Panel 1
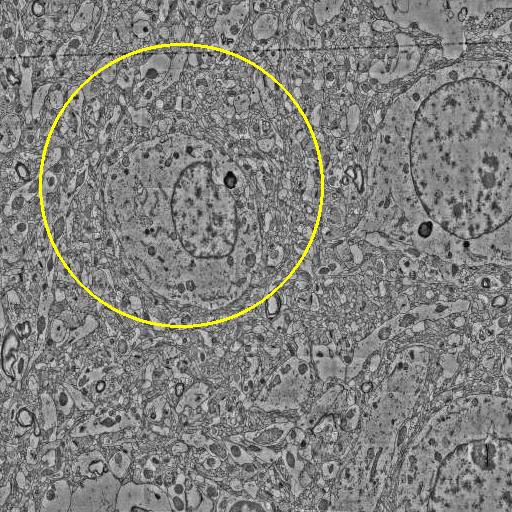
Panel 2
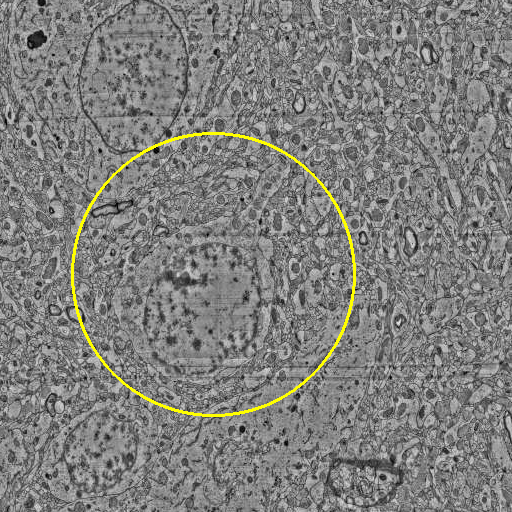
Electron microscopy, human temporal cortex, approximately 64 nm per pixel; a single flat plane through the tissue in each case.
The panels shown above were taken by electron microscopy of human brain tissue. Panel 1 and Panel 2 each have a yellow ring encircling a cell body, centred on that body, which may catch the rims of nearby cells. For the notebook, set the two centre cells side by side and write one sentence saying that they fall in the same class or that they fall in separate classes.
The centred cells of Panel 1 and Panel 2 fall in separate classes.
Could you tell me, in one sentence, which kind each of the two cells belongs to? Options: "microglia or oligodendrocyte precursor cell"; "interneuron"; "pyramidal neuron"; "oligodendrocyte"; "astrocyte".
At the centre of the first ring sits a pyramidal neuron, and at the centre of the second sits an interneuron.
